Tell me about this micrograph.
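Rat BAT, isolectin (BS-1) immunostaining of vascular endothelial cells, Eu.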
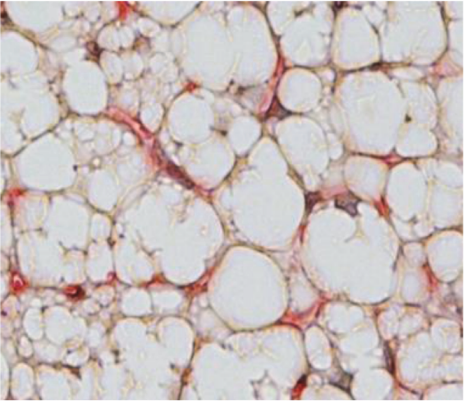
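Many fat cells hold large, clear, rounded lipid droplets, and smaller groups of cells contain numerous little droplets that look foamy. Thin strands of red stain lie in the narrow gaps where neighbouring fat cells meet. The droplets are unstained and white, bordered by thin pale cytoplasm.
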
